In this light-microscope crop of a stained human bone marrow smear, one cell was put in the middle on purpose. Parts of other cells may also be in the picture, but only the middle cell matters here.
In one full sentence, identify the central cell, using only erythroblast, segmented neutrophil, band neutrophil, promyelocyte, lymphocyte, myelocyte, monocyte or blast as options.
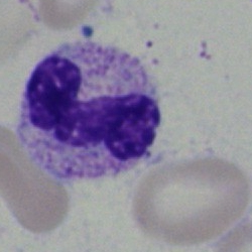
The cell of interest, located centrally, is a band neutrophil.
